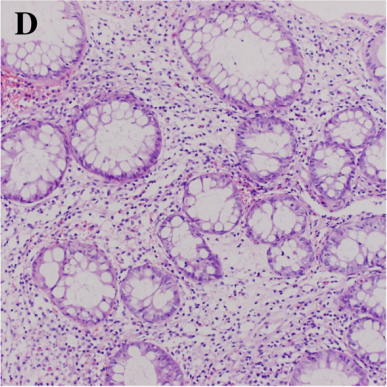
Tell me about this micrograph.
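This is colonic mucosa in which the crypts, cut across, vary in size and outline, some round and large, others small, oval or angular. Each crypt is still lined by a continuous layer of epithelium full of pale goblet cells, with basal purple nuclei. The lamina propria between the crypts is wider and crowded with many small dark nuclei of inflammatory cells. Small red areas of blood are seen in the stroma. The crypts are less evenly spaced than in normal mucosa but remain intact.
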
